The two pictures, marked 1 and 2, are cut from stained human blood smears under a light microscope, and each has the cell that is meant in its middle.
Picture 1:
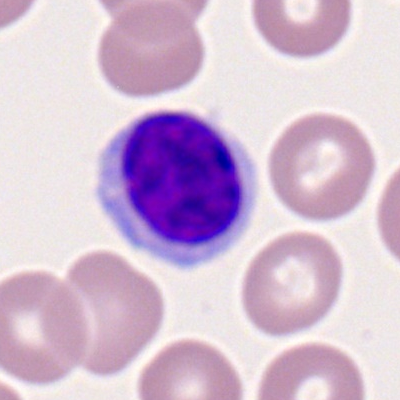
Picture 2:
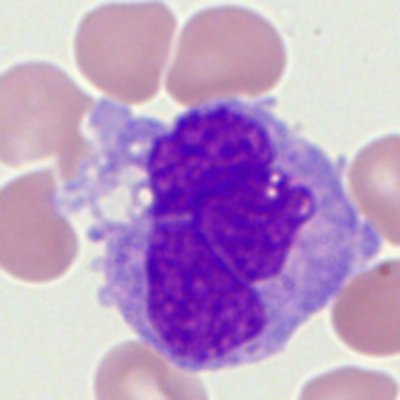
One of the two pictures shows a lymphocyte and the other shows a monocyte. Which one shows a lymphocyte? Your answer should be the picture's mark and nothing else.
1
